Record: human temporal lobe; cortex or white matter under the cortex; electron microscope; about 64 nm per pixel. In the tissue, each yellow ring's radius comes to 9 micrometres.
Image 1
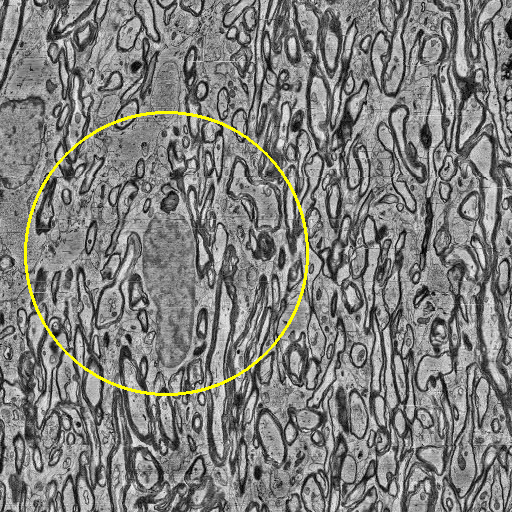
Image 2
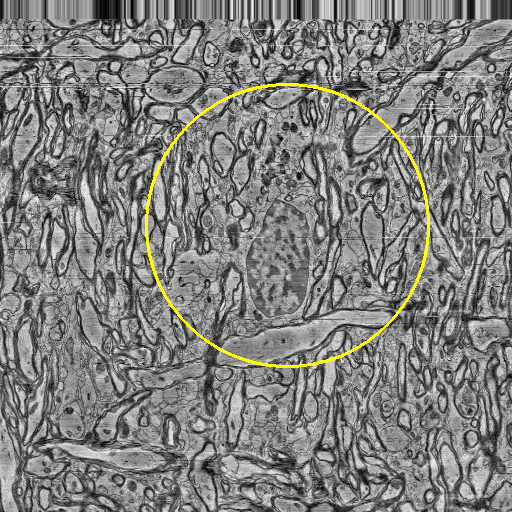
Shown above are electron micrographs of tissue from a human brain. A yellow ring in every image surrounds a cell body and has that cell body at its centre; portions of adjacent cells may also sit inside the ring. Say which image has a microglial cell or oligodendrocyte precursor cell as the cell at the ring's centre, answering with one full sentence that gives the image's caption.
The image whose ring is centred on the requested cell is Image 2.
